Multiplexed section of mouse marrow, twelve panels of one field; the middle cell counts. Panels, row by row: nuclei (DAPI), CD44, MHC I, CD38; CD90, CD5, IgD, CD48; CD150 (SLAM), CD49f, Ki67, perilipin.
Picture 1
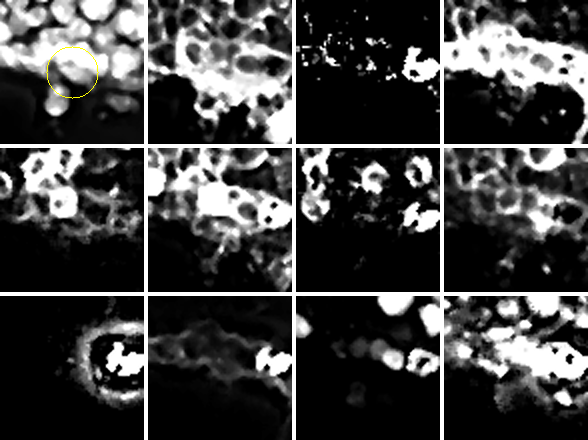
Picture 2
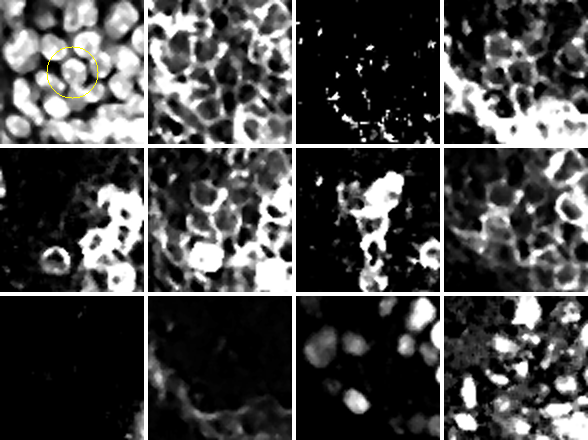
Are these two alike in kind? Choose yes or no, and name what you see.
No. First a T cell, second a B cell.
